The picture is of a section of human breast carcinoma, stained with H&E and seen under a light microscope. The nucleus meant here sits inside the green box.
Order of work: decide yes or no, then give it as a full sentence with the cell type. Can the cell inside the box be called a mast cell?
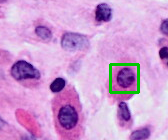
Yes, to put it simply, the cell inside the box is a mast cell.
